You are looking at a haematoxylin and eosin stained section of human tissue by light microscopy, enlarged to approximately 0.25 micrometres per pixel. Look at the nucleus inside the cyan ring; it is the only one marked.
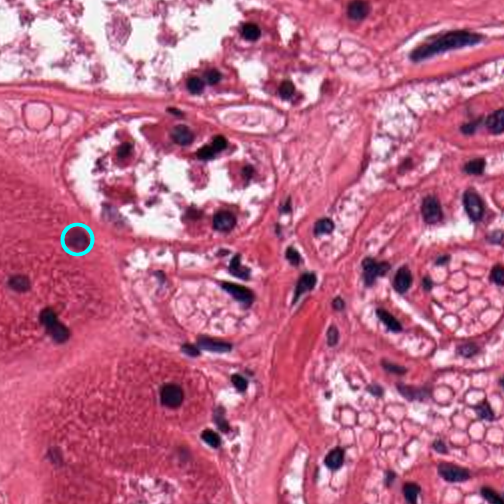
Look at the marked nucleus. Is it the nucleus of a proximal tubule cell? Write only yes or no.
yes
